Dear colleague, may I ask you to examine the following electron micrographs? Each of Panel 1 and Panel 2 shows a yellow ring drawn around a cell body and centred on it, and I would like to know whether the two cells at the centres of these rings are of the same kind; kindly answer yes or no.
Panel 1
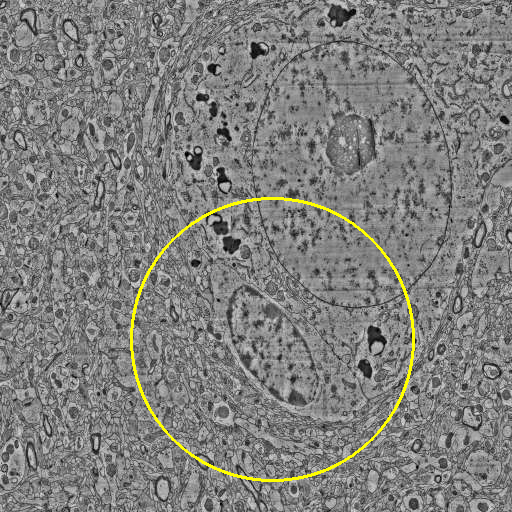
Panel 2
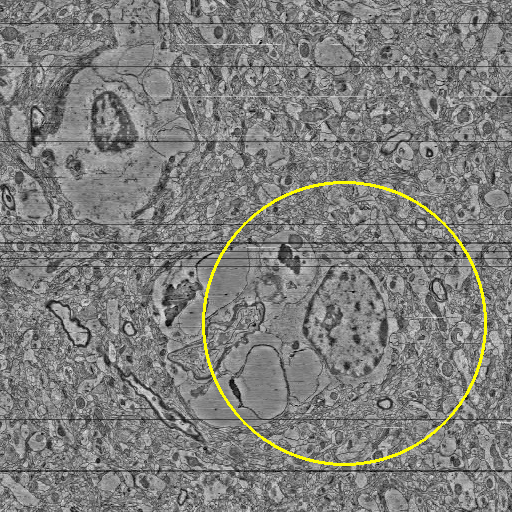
yes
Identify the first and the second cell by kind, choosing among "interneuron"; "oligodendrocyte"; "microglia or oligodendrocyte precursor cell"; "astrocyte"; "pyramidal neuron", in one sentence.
The ring centre holds a microglial cell or oligodendrocyte precursor cell in each of the two pictures.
